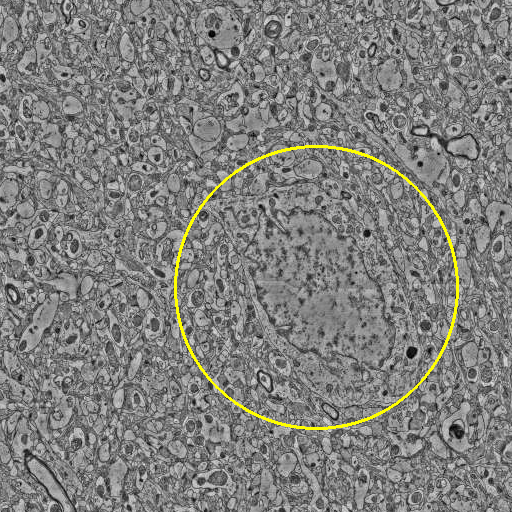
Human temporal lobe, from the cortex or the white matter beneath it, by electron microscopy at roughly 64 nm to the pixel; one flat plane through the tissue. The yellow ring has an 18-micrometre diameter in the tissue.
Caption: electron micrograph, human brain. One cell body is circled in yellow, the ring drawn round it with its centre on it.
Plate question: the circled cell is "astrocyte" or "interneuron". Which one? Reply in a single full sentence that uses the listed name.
The yellow ring on the plate is centred on an interneuron, going by the listed names.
